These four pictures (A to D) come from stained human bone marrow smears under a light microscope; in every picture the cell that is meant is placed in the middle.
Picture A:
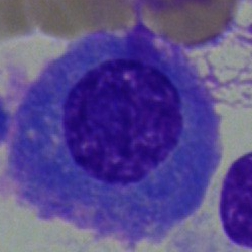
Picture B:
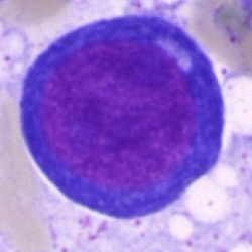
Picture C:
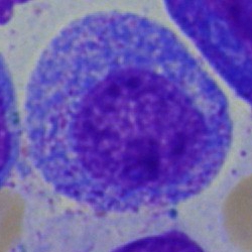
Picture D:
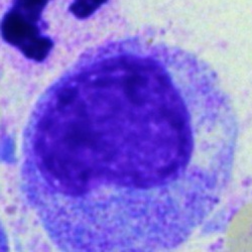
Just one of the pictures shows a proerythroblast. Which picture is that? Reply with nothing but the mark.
B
